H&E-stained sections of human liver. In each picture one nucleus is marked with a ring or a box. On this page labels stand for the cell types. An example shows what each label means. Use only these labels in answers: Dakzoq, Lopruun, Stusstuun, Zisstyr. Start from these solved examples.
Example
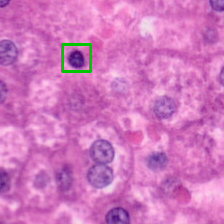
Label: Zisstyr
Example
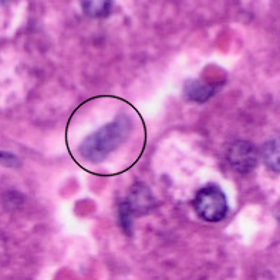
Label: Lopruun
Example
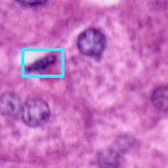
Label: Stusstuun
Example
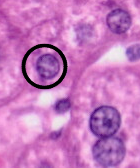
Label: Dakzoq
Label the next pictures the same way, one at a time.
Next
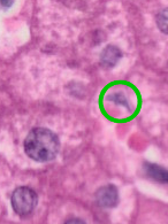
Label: Stusstuun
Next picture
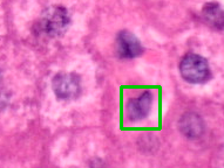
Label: Lopruun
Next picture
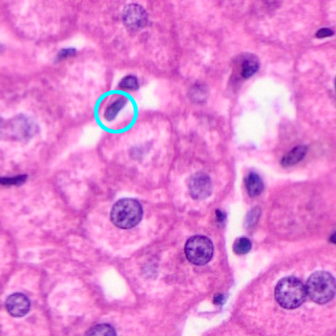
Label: Zisstyr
